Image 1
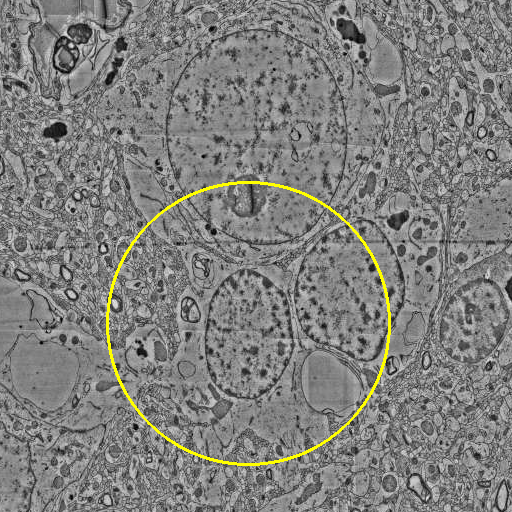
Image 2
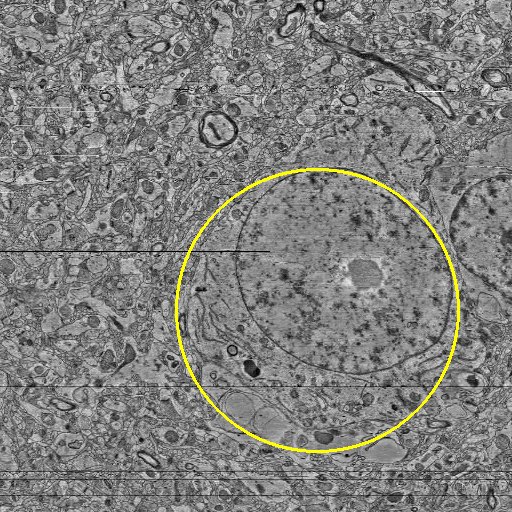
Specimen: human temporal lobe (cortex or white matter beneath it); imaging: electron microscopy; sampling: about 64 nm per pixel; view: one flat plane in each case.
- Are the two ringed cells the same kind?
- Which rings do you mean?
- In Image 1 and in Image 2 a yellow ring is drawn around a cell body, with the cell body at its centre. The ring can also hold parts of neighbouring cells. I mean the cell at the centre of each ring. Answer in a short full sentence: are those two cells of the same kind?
No, the cells are of two kinds.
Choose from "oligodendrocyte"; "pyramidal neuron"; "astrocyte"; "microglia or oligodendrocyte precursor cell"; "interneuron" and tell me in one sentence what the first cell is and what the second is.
What the first ring is centred on is an astrocyte; what the second ring is centred on is a pyramidal neuron.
